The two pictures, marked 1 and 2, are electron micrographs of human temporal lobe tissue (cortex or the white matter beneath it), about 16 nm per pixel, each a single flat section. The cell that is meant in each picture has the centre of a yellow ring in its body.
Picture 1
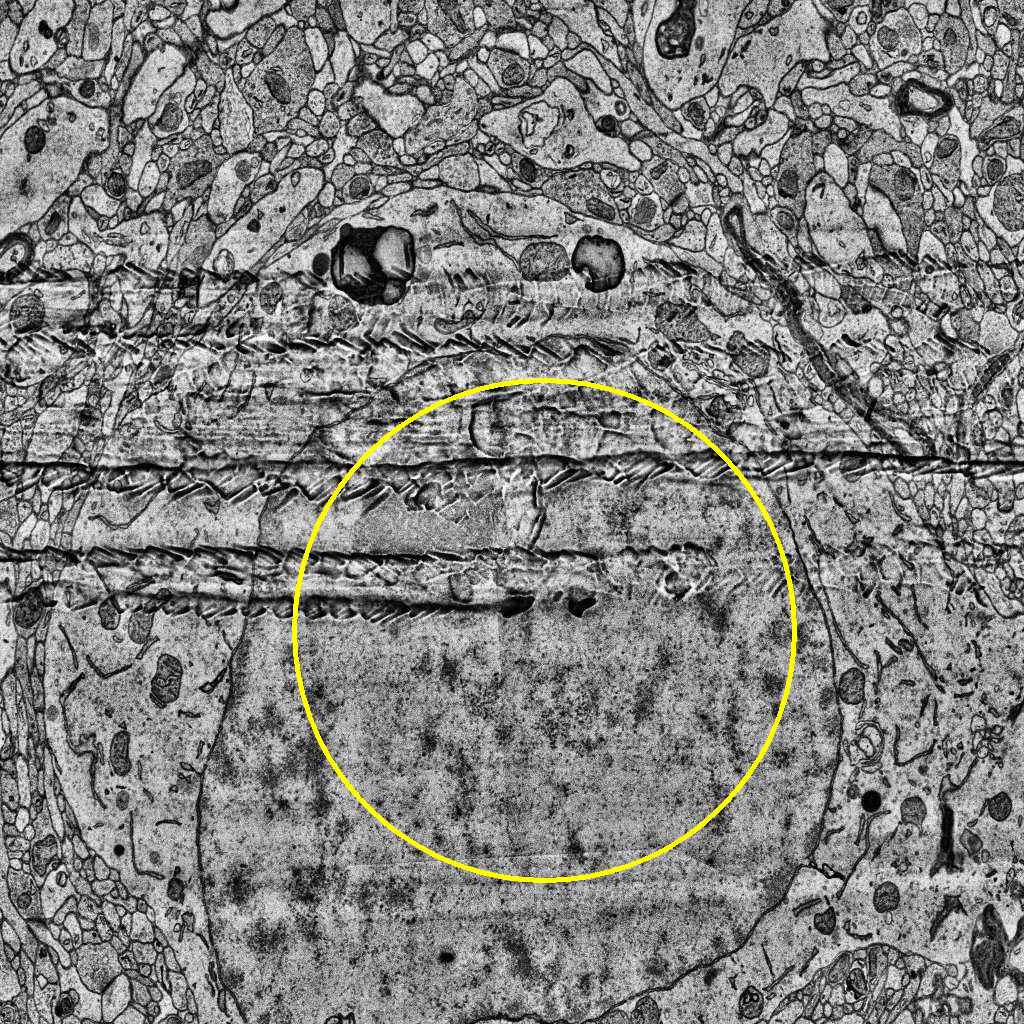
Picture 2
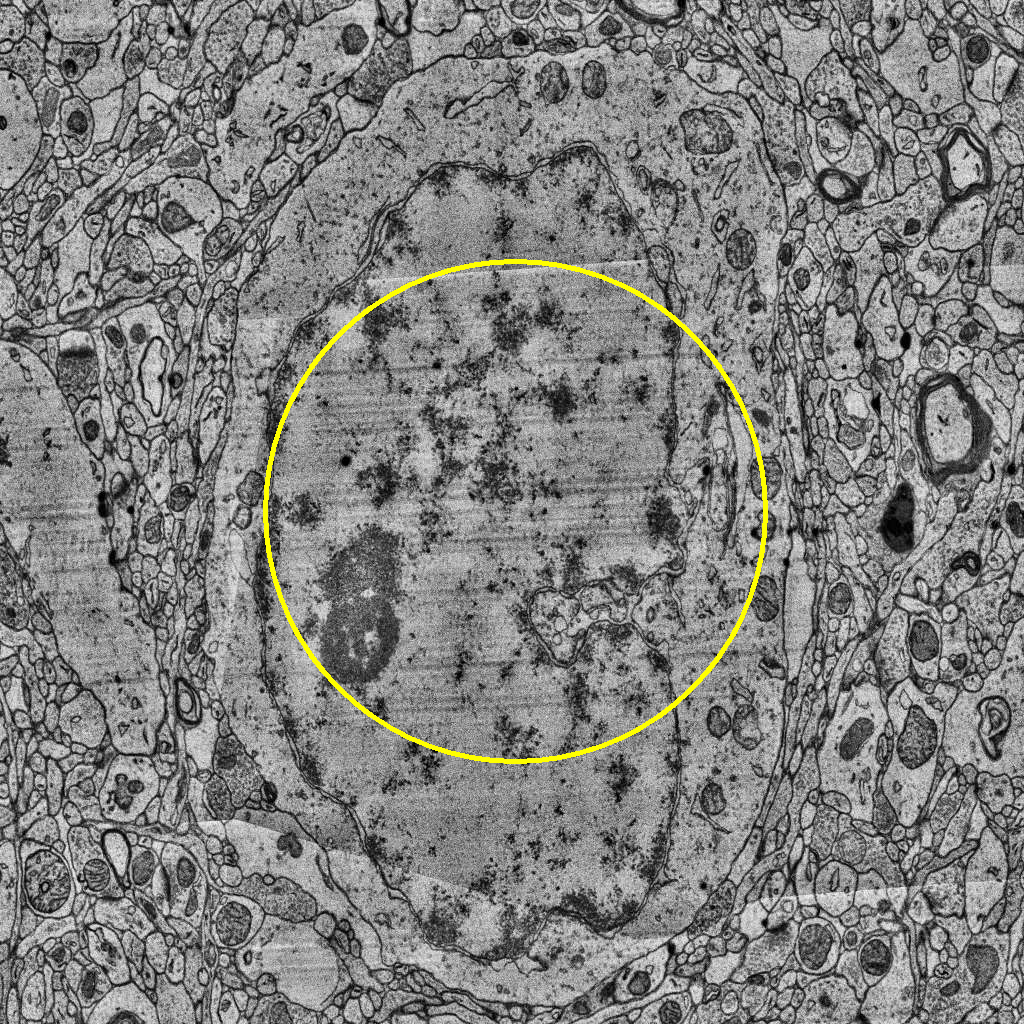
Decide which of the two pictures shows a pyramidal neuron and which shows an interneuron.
In picture 1 the cell is a pyramidal neuron; in picture 2, an interneuron.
